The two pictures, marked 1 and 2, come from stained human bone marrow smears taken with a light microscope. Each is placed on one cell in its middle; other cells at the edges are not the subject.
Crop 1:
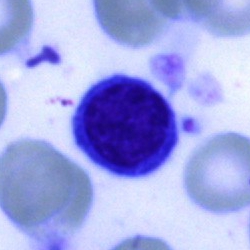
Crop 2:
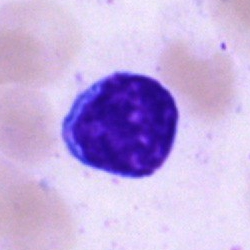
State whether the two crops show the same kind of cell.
yes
